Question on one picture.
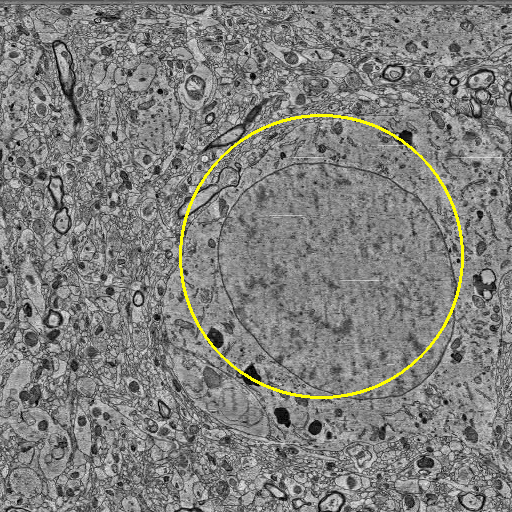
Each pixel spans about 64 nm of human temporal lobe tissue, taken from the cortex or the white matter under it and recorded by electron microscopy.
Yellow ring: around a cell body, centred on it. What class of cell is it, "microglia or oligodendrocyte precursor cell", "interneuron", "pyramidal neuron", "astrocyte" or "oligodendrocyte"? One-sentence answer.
This is a pyramidal neuron, the cell the ring is centred on.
